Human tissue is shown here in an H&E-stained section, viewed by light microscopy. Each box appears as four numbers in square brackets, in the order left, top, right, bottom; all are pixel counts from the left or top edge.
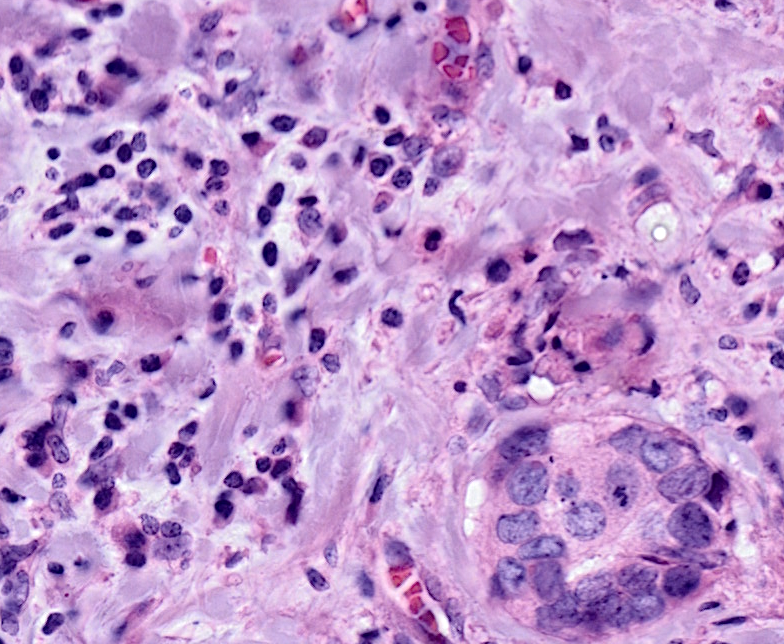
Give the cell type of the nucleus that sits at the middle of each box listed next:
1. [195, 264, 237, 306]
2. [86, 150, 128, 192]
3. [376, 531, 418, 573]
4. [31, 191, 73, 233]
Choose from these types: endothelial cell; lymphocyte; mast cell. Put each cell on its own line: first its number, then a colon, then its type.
1: lymphocyte
2: lymphocyte
3: endothelial cell
4: lymphocyte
